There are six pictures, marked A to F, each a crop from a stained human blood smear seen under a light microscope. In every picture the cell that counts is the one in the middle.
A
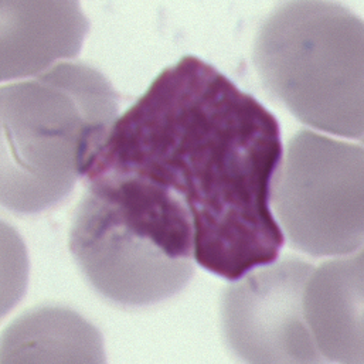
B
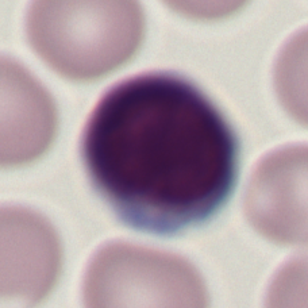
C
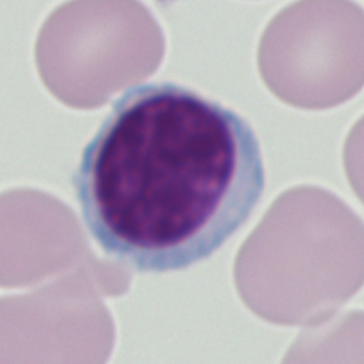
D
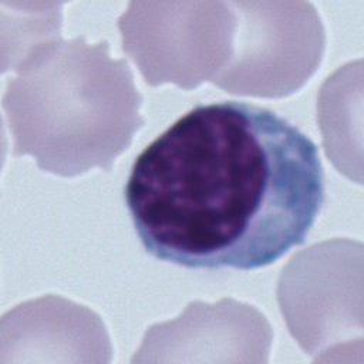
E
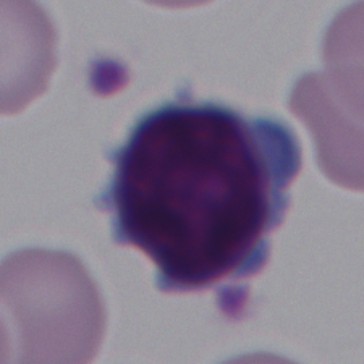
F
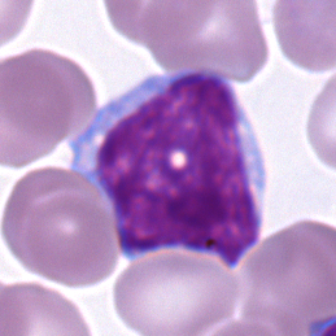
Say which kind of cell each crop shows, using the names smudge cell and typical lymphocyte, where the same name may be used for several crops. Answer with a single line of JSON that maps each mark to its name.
{"A": "smudge cell", "B": "typical lymphocyte", "C": "typical lymphocyte", "D": "typical lymphocyte", "E": "typical lymphocyte", "F": "typical lymphocyte"}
